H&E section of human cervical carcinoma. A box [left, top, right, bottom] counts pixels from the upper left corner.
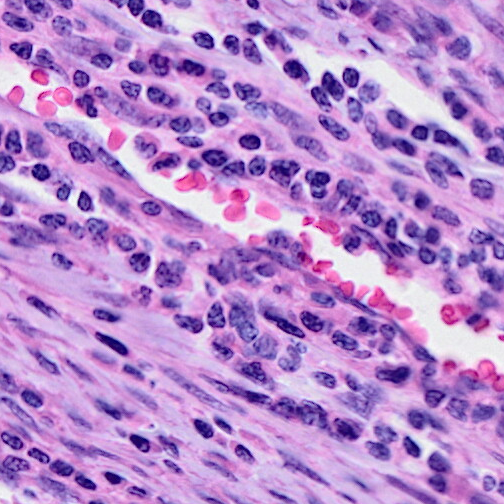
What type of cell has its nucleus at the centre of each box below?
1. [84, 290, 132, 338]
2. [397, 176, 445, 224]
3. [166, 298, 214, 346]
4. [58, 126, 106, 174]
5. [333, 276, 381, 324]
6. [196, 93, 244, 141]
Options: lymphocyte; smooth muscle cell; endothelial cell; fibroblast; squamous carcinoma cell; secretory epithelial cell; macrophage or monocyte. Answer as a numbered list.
1. lymphocyte
2. lymphocyte
3. lymphocyte
4. endothelial cell
5. endothelial cell
6. lymphocyte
